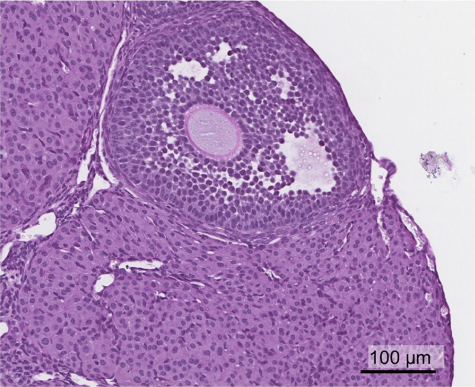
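This shows ovarian tissue with a growing follicle in which a round oocyte is surrounded by many layers of closely packed granulosa cells with dark purple nuclei. Irregular clear fluid-like spaces lie among the granulosa cells, and a thin layer of flattened cells wraps the follicle. Next to the follicle is a broad area of larger, paler cells with abundant pink cytoplasm and round nuclei, bordered by the smooth ovarian surface.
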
